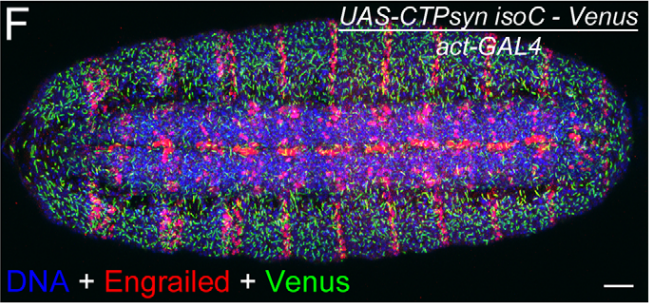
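A whole late embryo viewed ventrally, with blue nuclei densely packed over its surface and a central band along the midline. Regularly spaced narrow red stripes cross the body, marking repeating segments, with a row of red nuclei along the midline.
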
